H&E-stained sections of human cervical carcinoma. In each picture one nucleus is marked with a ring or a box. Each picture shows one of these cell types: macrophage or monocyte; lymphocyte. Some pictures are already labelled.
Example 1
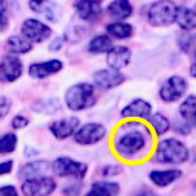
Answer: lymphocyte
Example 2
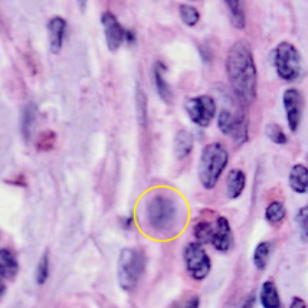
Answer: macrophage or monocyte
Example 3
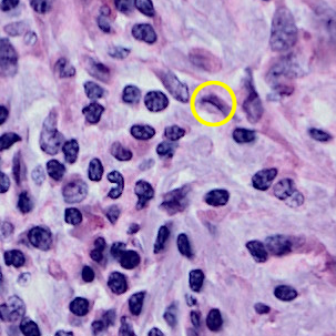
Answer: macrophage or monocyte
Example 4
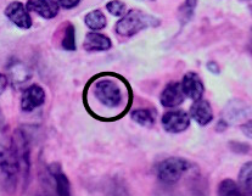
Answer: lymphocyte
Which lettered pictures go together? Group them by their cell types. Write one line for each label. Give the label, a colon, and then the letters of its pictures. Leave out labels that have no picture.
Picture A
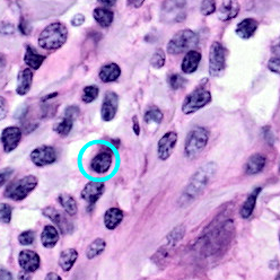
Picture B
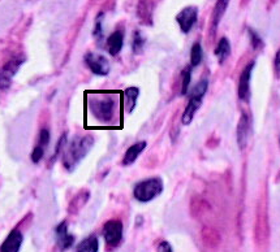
macrophage or monocyte: B
lymphocyte: A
